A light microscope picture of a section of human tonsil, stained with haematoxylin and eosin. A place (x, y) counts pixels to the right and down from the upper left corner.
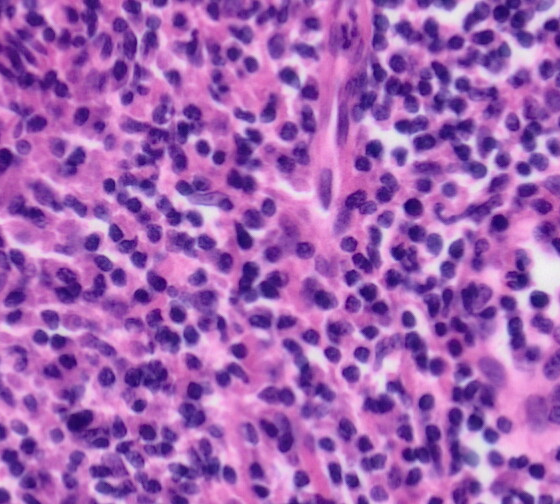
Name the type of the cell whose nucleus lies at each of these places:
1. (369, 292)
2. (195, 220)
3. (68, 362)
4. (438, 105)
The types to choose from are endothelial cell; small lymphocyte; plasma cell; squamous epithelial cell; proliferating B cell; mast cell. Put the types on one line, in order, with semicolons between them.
small lymphocyte; small lymphocyte; plasma cell; small lymphocyte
